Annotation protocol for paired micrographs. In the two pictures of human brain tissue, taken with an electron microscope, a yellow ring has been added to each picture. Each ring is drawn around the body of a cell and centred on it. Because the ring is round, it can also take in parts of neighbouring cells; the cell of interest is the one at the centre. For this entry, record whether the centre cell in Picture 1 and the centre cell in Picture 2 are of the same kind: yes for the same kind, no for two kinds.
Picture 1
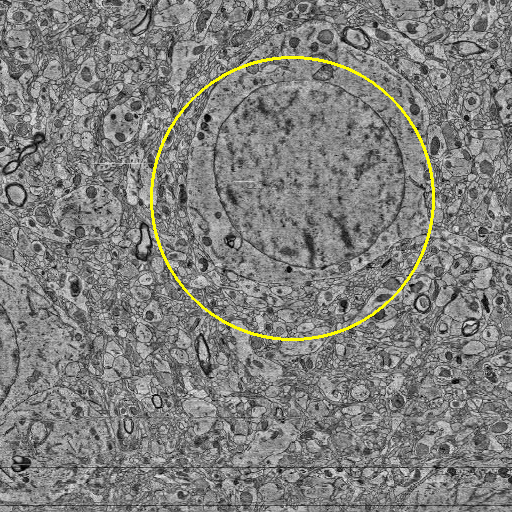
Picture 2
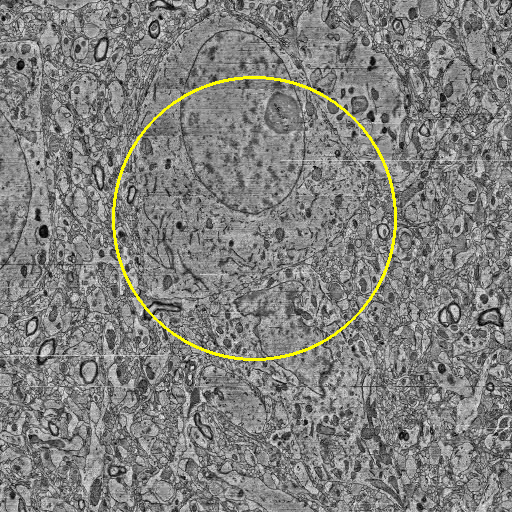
yes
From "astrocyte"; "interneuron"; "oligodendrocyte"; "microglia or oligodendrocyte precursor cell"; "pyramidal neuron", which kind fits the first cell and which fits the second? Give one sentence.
Each of the two pictures has a pyramidal neuron at the ring centre.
